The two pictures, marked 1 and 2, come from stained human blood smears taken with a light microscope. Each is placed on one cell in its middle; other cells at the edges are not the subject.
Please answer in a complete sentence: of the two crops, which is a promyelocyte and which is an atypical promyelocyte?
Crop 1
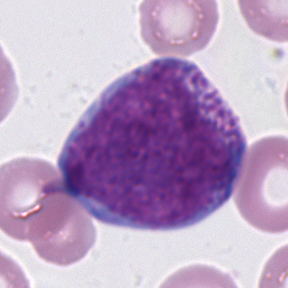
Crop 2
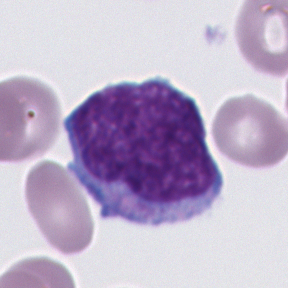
Crop 1 here is a promyelocyte, and crop 2 is an atypical promyelocyte.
